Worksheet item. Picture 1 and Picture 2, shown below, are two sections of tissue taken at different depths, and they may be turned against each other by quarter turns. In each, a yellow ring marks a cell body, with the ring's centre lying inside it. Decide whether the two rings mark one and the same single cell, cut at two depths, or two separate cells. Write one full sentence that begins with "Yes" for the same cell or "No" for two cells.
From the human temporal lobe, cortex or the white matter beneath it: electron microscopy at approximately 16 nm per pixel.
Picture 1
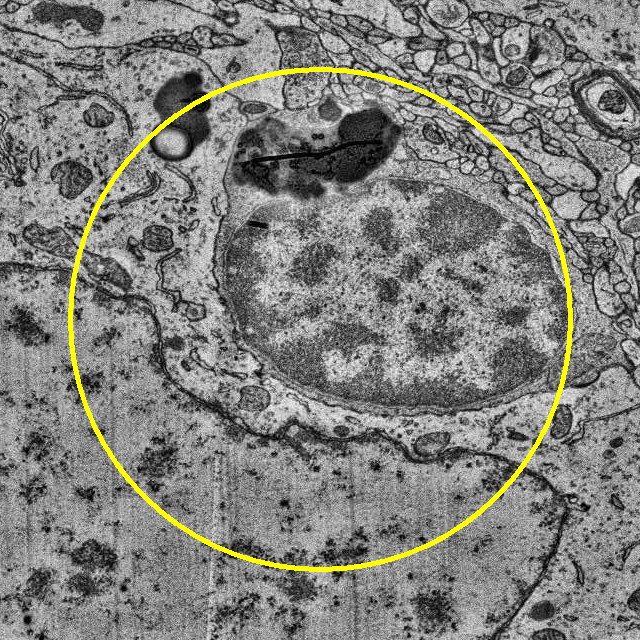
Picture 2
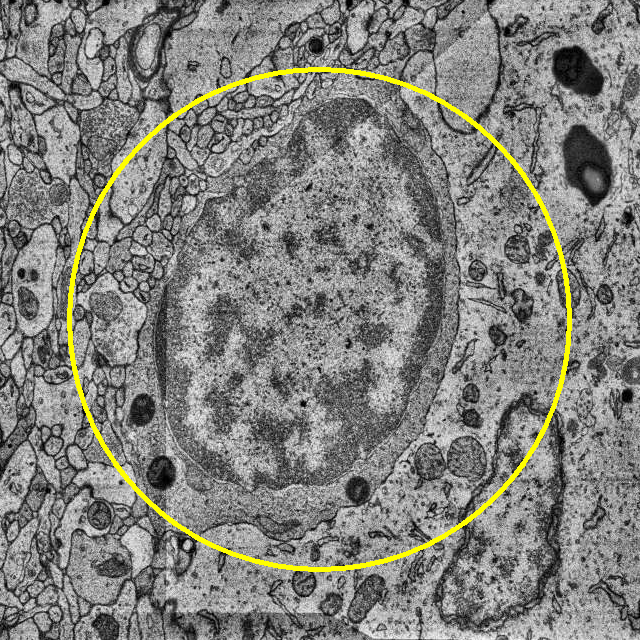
Yes, both marked profiles belong to the very same cell.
